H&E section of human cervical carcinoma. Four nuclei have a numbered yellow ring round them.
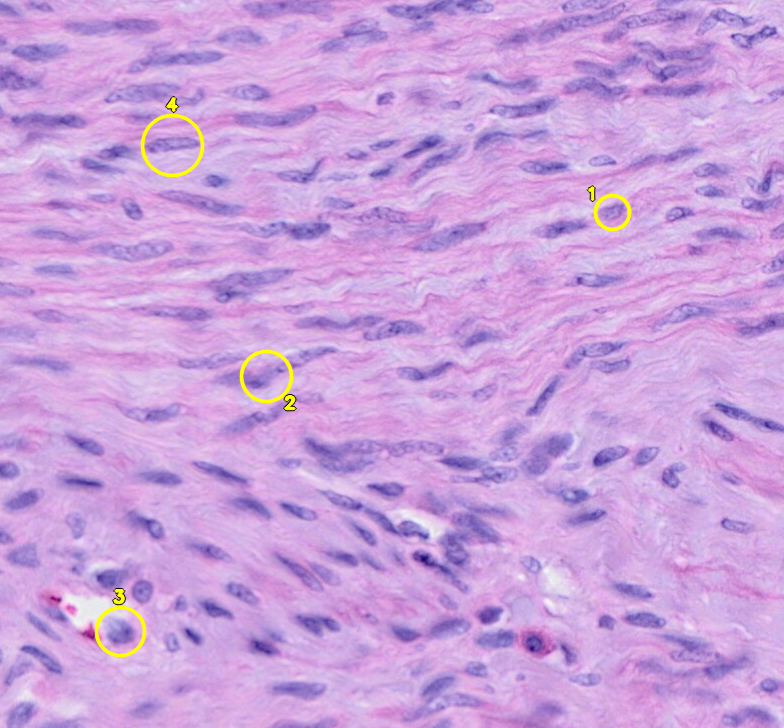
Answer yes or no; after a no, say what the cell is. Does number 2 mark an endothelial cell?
No, it is a smooth muscle cell.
